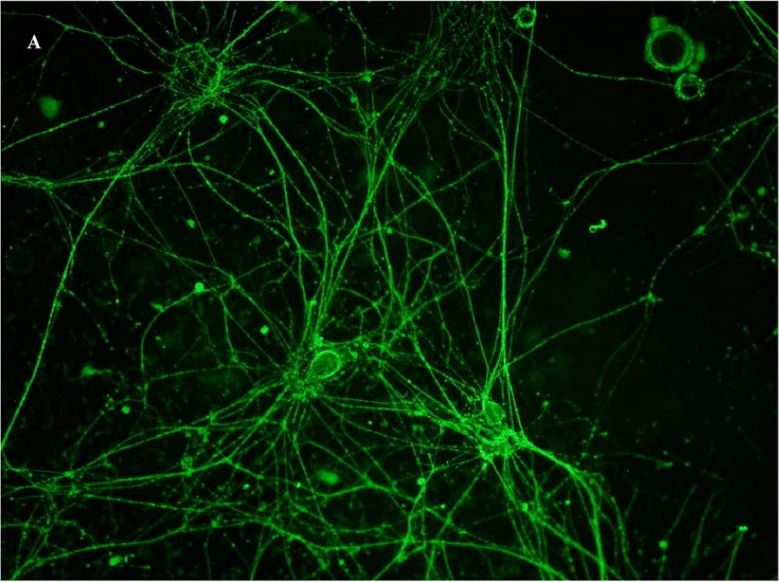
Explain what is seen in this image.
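A few rounded cell bodies sit at dense knots of fibres. Long, thin processes run from these knots and branch and cross into a meshwork that fills the field. The fibres look finely beaded, and small round green dots and a few larger ring-like bodies lie scattered between them.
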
